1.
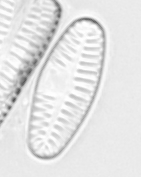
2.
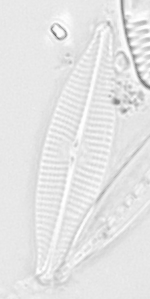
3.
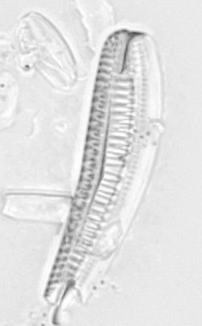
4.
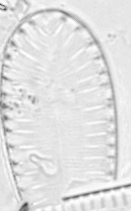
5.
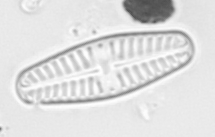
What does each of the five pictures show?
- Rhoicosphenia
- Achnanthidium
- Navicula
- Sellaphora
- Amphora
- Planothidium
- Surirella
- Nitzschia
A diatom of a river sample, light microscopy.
1: Planothidium
2: Navicula
3: Rhoicosphenia
4: Surirella
5: Planothidium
